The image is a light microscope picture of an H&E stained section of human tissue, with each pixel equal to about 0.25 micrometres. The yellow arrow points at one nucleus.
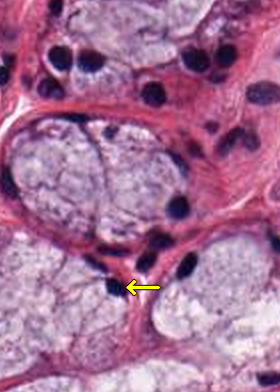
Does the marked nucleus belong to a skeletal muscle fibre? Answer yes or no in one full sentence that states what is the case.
No, the marked nucleus sits in a mucous gland cell, not in a skeletal muscle fibre.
